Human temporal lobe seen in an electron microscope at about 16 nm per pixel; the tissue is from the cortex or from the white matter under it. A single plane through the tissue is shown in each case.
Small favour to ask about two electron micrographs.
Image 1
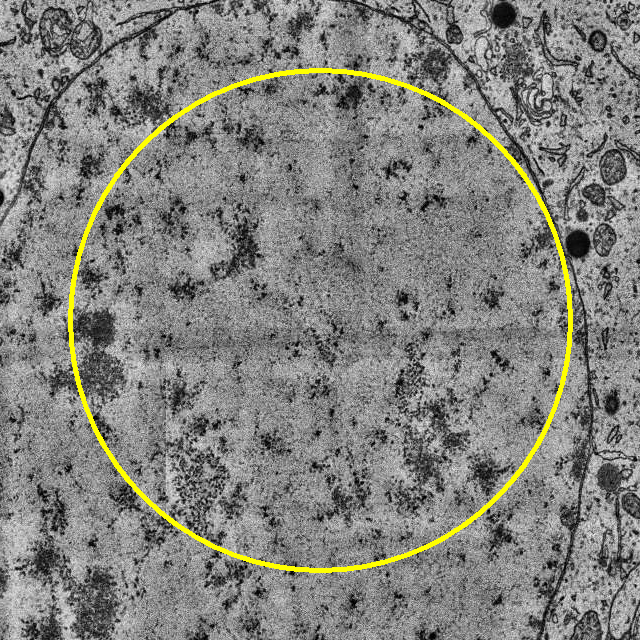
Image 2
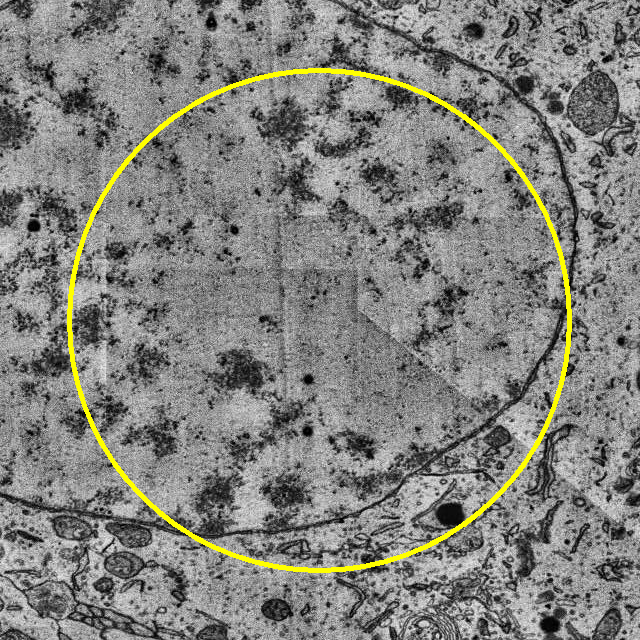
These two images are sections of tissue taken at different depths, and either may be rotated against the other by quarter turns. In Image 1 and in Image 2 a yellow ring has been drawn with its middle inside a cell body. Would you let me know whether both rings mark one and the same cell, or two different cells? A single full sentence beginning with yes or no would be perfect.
Yes, the two rings belong to one cell, not to two.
